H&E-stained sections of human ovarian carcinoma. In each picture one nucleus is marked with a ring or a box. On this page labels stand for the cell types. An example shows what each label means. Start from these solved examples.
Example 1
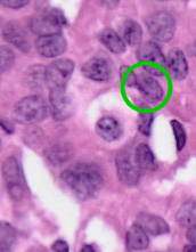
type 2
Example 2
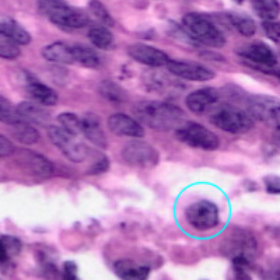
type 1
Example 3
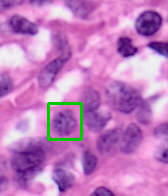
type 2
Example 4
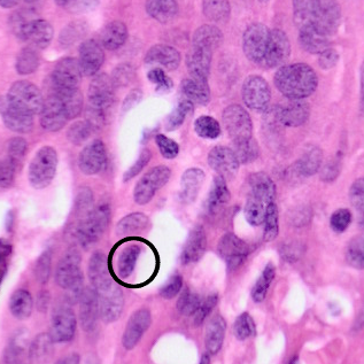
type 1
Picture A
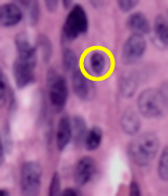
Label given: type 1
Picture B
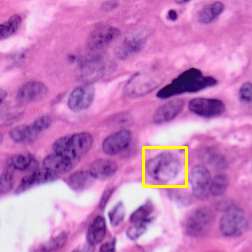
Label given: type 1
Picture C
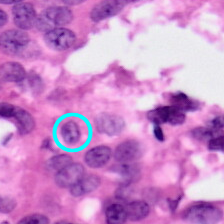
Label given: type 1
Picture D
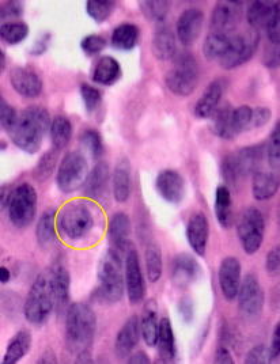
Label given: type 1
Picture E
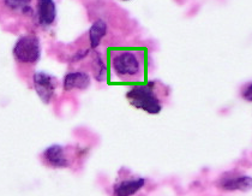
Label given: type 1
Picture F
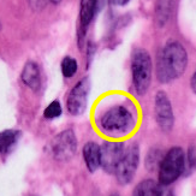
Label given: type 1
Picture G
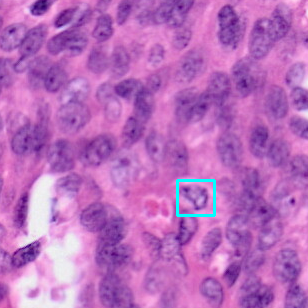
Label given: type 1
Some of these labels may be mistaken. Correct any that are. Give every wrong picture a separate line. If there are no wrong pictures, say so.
All labels are correct.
